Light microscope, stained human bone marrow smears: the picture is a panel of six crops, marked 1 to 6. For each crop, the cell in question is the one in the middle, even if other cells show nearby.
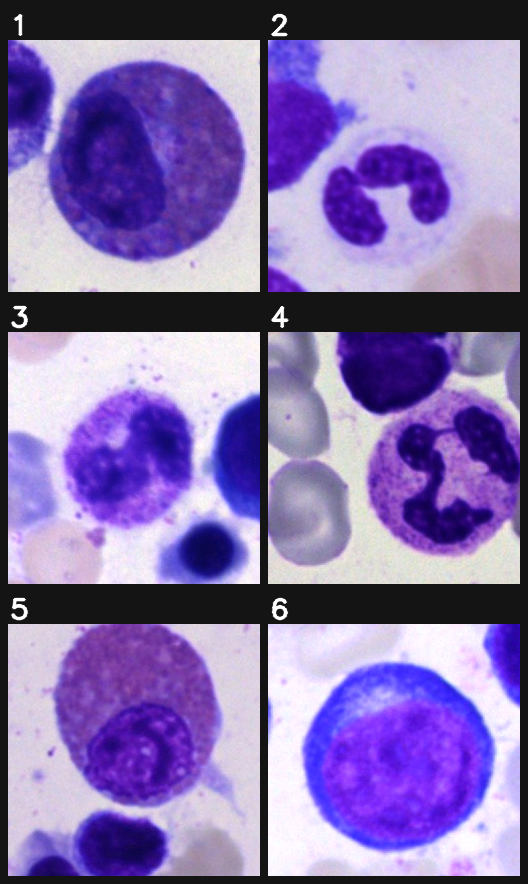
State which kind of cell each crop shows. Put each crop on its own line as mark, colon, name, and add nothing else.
1: eosinophil
2: neutrophil
3: neutrophil
4: neutrophil
5: eosinophil
6: proerythroblast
